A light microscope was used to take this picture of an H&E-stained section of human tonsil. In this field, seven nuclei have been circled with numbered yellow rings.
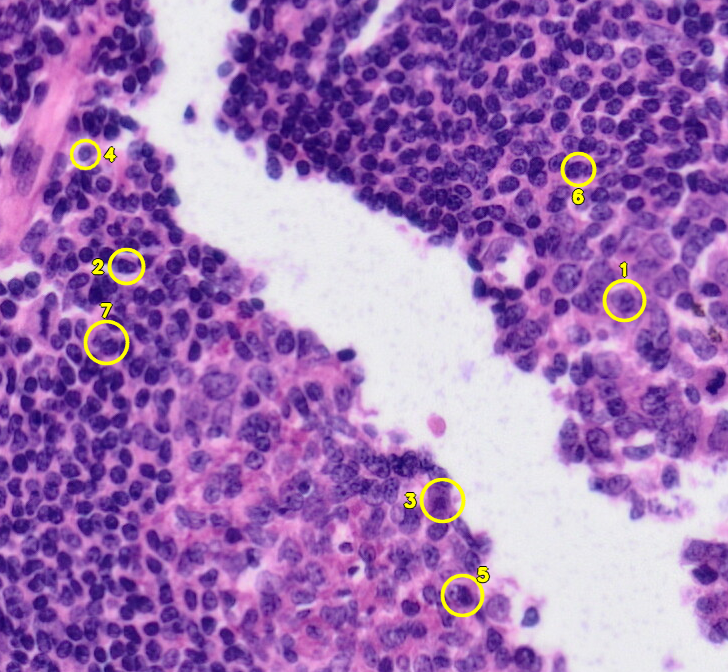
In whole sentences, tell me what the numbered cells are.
Cells 1, 3 and 5 are proliferating B cells. Cells 2, 4, 6 and 7 are small lymphocytes.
